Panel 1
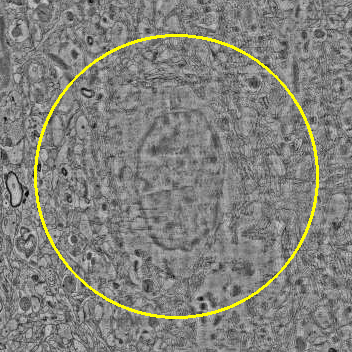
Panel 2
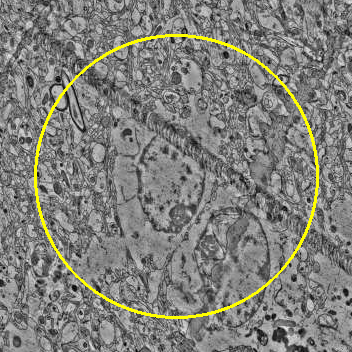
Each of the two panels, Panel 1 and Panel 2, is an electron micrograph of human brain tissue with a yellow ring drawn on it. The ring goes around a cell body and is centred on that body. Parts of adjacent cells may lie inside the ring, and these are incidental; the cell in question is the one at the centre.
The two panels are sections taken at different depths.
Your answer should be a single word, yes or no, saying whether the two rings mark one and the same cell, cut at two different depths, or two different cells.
yes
